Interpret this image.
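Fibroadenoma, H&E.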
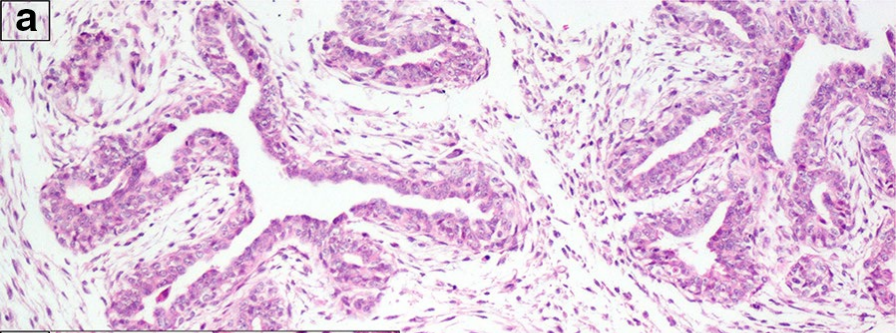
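Branching, elongated tubules lined by crowded cuboidal epithelial cells with purple nuclei lie scattered through a pale, loose stroma of widely spaced spindle-shaped cells. The epithelium forms ductal structures, and the watery, open stroma around them is edematous connective tissue.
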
